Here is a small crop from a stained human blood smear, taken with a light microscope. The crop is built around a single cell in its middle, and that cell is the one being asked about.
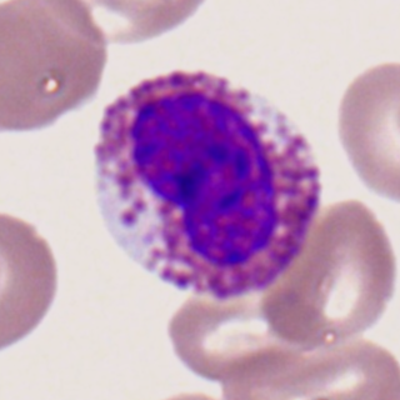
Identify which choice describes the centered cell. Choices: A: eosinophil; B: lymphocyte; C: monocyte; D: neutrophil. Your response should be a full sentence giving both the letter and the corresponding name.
This one is option A, since the cell at the center is an eosinophil.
